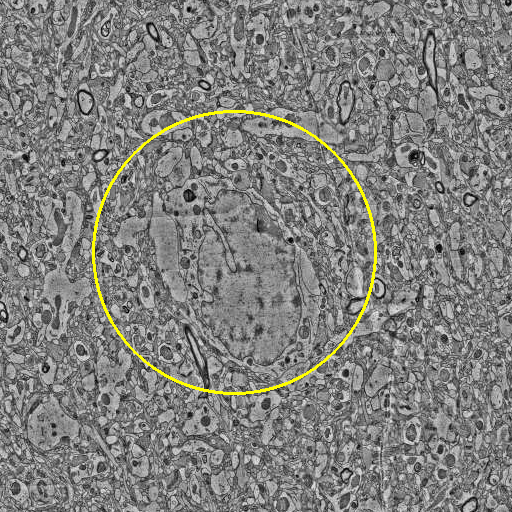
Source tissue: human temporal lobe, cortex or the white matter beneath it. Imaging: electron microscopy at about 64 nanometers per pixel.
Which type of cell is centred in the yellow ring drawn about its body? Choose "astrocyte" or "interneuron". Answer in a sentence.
The yellow ring surrounds the cell body of an interneuron.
